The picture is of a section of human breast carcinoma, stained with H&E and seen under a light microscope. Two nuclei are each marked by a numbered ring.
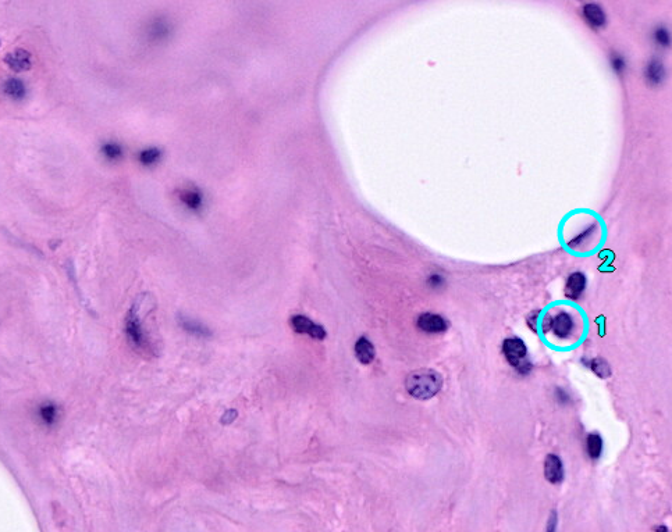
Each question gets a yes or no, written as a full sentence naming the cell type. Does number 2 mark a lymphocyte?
No, number 2 is assigned to a fibroblast, not to a lymphocyte.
